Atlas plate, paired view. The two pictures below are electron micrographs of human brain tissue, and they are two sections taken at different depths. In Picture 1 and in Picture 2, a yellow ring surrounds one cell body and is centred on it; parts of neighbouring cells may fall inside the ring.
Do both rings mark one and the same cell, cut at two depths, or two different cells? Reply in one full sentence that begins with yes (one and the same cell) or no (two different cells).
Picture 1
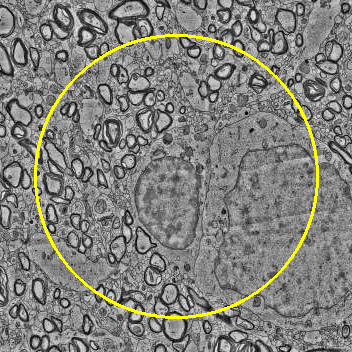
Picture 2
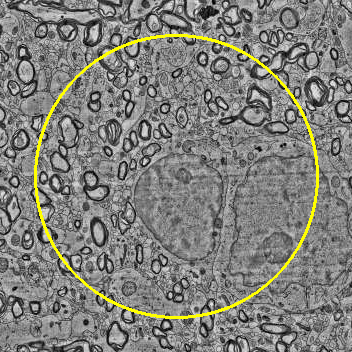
Yes, the cell marked in each ring is one and the same.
